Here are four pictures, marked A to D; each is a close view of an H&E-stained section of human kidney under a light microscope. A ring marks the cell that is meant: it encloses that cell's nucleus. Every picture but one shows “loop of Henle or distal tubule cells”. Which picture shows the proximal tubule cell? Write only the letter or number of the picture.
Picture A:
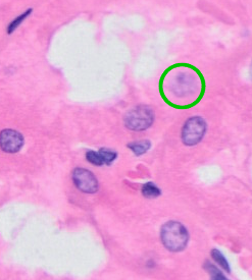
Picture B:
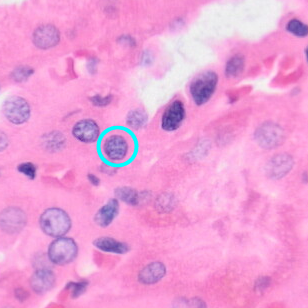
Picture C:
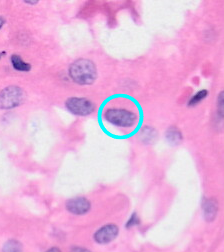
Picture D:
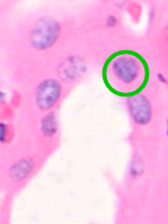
A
